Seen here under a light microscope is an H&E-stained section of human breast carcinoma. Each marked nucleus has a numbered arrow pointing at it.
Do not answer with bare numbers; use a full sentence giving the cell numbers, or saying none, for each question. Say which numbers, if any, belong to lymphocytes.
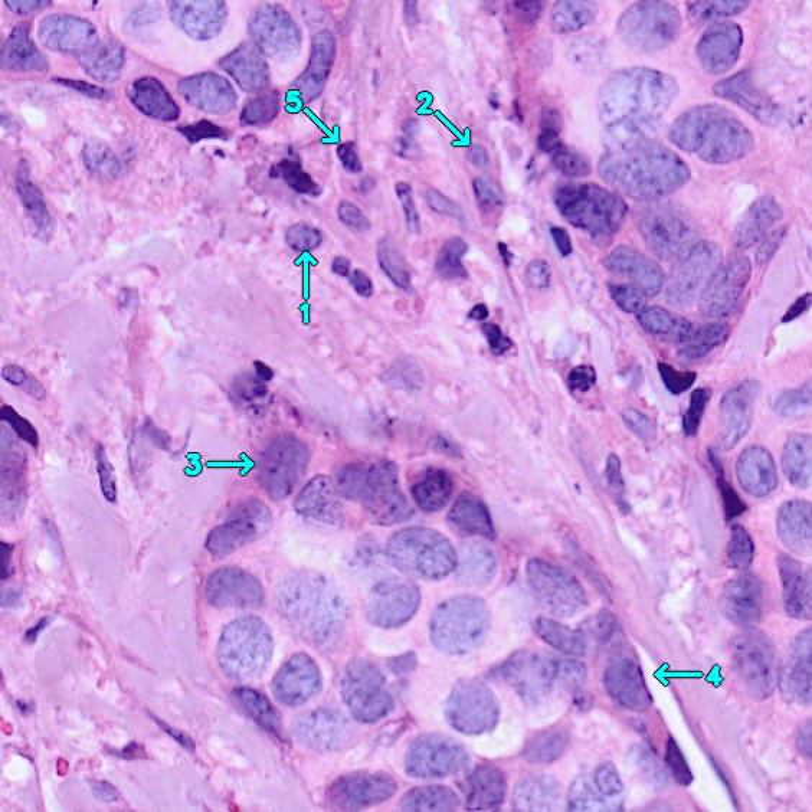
Only cell 5 qualifies as a lymphocyte among the numbered cells.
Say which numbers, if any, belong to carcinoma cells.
The numbers 3 and 4 mark cells that are carcinoma cells.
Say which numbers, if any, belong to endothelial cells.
Cell 2 is an endothelial cell, and it is the only numbered cell that is.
